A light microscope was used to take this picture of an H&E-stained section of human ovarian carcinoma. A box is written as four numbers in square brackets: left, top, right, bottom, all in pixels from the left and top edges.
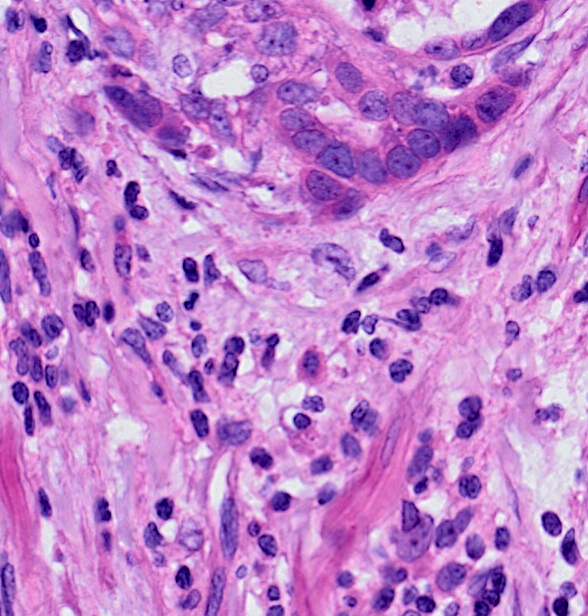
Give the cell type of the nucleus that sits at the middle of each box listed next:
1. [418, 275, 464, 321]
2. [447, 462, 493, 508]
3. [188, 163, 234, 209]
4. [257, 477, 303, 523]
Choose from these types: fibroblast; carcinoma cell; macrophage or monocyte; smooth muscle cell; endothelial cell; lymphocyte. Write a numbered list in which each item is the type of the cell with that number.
1. lymphocyte
2. lymphocyte
3. fibroblast
4. lymphocyte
